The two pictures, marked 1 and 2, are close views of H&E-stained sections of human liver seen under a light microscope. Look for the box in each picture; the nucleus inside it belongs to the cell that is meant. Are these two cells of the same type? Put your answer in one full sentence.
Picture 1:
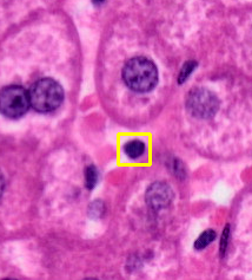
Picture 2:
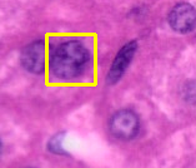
No. Picture 1 shows a lymphocyte, but picture 2 shows a hepatocyte.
